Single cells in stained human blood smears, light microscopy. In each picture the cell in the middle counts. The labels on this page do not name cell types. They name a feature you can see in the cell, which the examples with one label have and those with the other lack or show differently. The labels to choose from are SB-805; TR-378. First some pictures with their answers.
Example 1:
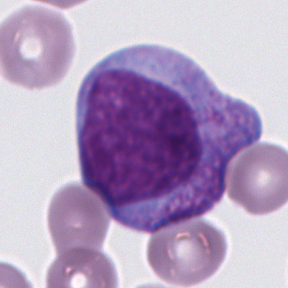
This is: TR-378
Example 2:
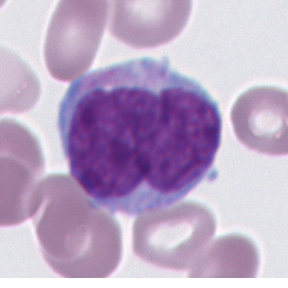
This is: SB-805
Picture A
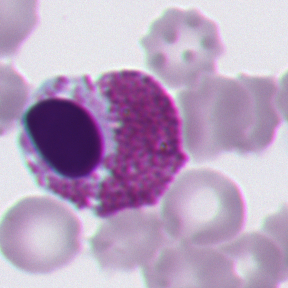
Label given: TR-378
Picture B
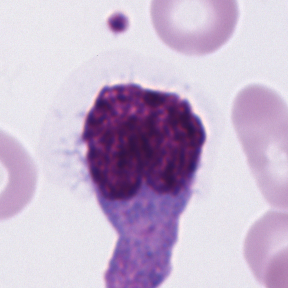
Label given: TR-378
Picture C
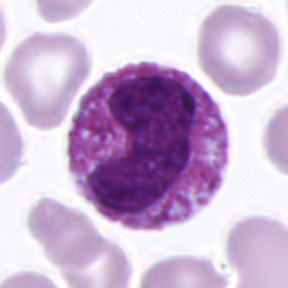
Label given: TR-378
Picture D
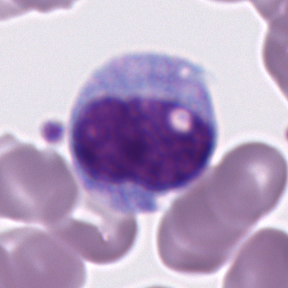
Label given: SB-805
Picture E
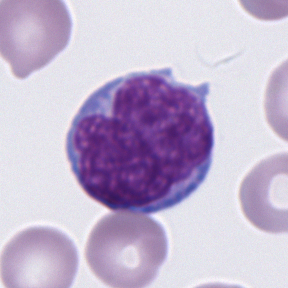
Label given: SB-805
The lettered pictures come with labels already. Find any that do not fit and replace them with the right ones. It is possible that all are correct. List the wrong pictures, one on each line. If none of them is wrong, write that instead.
Wrong: B (TR-378); correct: SB-805
Wrong: D (SB-805); correct: TR-378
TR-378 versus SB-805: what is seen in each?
Seen in TR-378: single compact nucleus; seen in SB-805: lobed nucleus.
